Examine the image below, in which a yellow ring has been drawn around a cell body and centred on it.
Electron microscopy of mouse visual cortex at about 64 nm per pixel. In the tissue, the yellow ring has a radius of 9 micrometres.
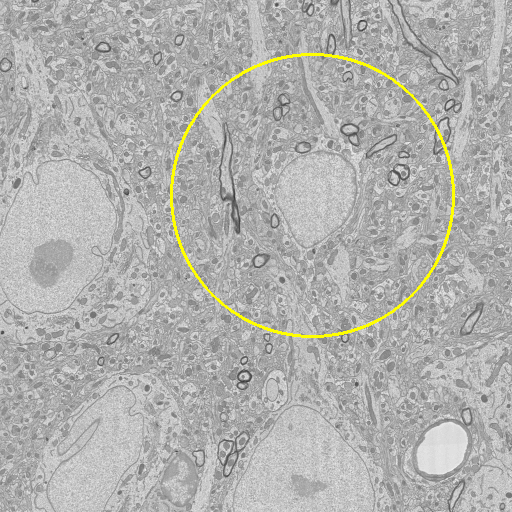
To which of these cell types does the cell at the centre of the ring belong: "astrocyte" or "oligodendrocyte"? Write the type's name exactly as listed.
astrocyte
